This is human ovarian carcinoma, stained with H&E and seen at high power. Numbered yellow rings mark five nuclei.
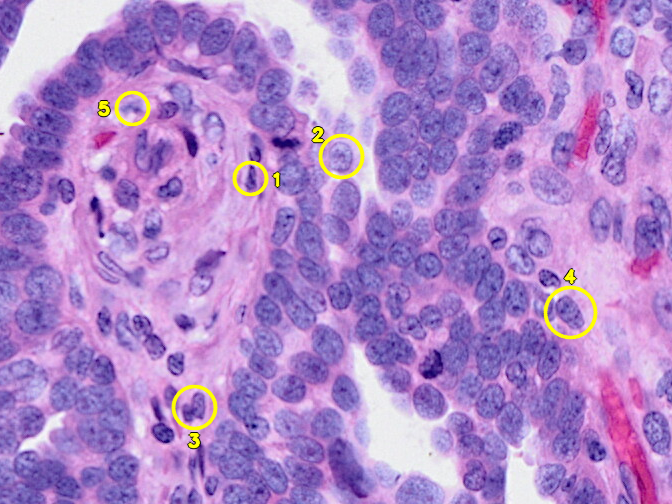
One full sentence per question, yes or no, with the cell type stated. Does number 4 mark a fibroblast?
No, cell 4 is to be read as a macrophage or monocyte, not a fibroblast.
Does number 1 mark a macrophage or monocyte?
No, it is not a macrophage or monocyte that bears number 1 but a fibroblast.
